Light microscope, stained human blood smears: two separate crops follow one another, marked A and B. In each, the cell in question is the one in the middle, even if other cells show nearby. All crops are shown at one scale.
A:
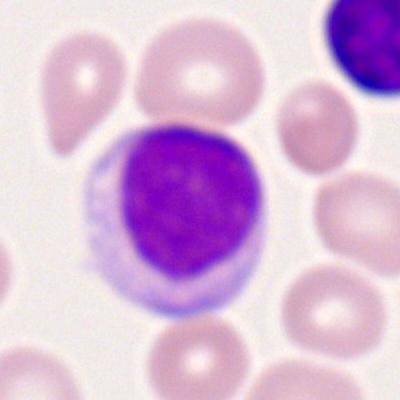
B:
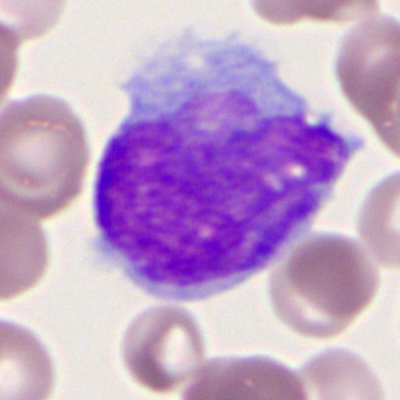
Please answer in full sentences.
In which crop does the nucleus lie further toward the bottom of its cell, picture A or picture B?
In picture B the nucleus is shifted more toward the bottom.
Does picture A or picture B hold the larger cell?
Larger is the cell in picture B, at roughly 1.5 times the area of the other.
